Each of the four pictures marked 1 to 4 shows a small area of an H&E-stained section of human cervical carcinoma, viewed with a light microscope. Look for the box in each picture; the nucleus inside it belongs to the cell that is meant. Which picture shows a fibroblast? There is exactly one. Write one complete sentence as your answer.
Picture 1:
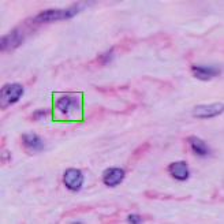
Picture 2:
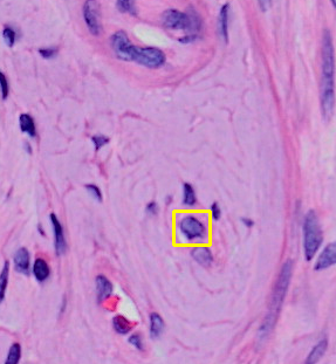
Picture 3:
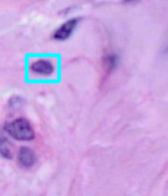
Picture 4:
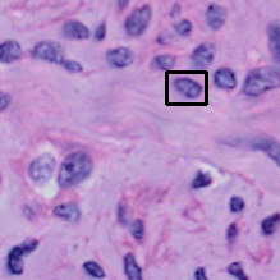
It is picture 3 that shows the fibroblast.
